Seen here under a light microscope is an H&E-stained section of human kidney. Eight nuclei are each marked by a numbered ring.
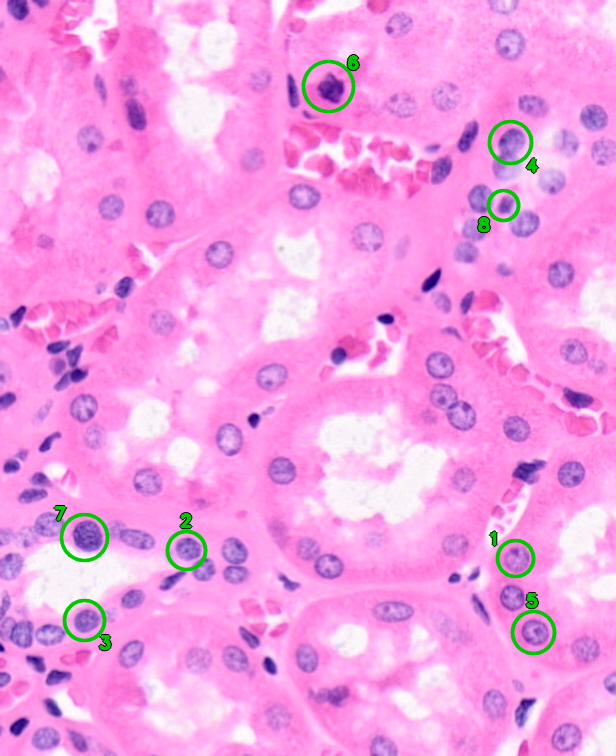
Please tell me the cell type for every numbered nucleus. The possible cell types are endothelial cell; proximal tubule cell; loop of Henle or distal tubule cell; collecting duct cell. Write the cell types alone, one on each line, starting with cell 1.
proximal tubule cell
collecting duct cell
collecting duct cell
loop of Henle or distal tubule cell
proximal tubule cell
proximal tubule cell
collecting duct cell
loop of Henle or distal tubule cell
